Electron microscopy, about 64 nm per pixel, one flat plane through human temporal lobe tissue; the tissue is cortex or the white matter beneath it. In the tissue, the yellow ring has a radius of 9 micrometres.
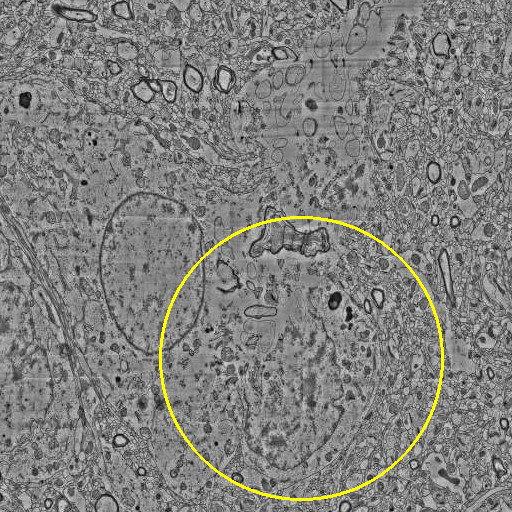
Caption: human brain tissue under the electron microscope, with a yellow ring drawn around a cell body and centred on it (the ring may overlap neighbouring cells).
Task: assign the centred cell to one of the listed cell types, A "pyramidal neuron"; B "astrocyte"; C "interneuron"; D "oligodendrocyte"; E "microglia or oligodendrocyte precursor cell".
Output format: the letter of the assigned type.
C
